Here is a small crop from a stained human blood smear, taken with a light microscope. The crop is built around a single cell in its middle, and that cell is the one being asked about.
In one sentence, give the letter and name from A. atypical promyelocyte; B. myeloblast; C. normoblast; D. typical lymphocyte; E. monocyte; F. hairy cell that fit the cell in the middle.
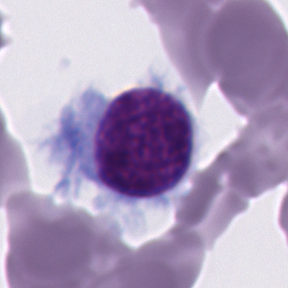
The correct identification, given in option F, is that the central cell is a hairy cell.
